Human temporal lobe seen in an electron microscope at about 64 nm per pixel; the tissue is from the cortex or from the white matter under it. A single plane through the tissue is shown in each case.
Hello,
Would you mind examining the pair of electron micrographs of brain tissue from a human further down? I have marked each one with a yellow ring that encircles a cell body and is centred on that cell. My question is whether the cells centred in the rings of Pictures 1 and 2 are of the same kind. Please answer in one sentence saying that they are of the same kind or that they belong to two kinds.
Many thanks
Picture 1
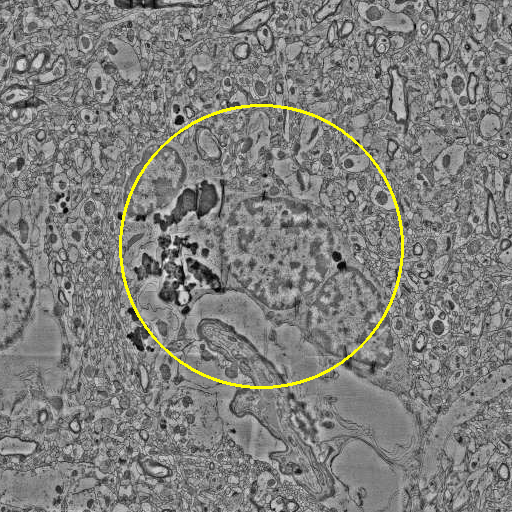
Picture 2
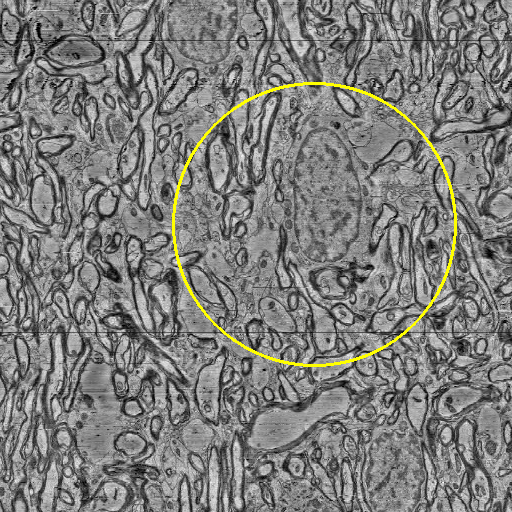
In Pictures 1 and 2, the cells at the heart of the rings are of the same kind.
